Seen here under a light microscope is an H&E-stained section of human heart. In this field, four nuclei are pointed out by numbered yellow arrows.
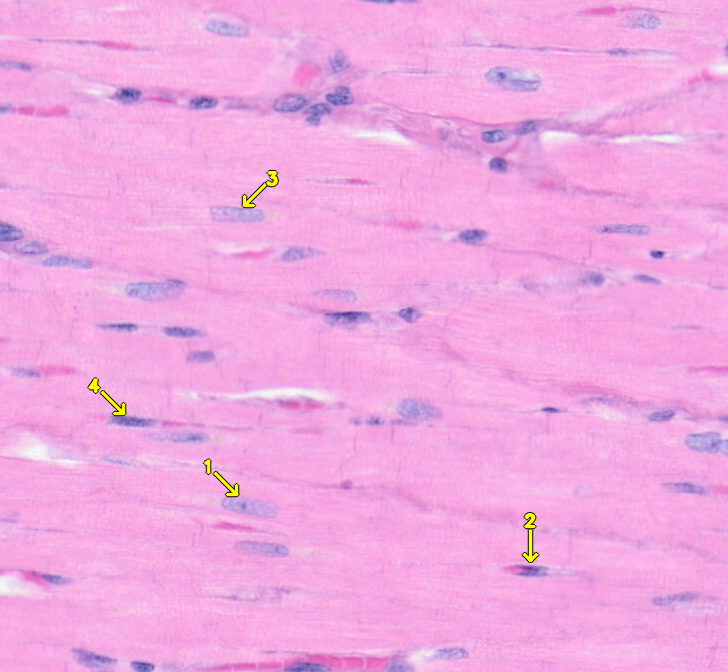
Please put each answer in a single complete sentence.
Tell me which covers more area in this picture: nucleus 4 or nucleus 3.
Nucleus 3 is the larger one, covering about 2 times the area of nucleus 4.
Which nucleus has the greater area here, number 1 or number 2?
Nucleus 1 covers more area, about 2 times as much as nucleus 2.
